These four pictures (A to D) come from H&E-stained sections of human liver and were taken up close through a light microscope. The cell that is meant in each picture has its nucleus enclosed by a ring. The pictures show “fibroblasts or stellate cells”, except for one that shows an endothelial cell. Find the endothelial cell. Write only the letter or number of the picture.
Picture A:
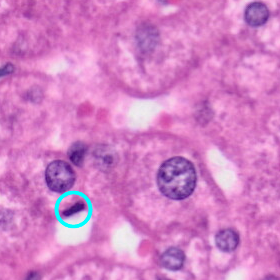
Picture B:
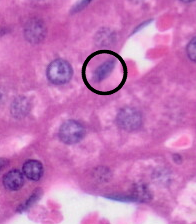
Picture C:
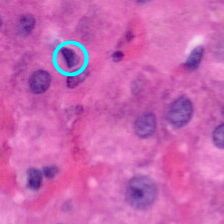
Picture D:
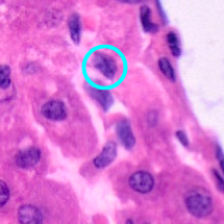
A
